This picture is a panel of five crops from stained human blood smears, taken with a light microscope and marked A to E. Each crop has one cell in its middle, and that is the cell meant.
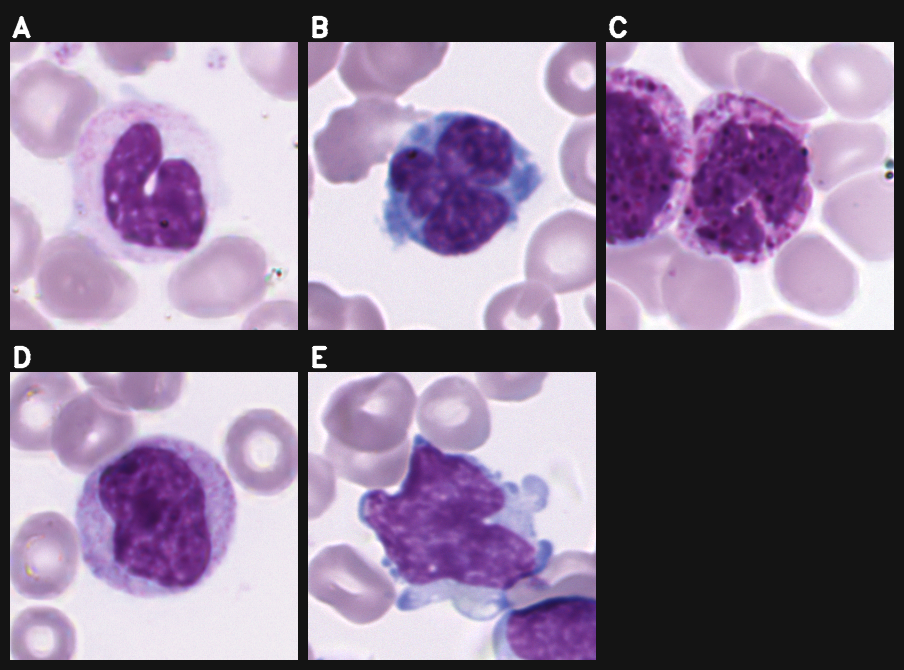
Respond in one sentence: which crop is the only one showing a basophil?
It is crop C that shows a basophil.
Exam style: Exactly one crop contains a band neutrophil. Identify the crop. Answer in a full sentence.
Crop A, of the crops presented, is the one showing a band neutrophil.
